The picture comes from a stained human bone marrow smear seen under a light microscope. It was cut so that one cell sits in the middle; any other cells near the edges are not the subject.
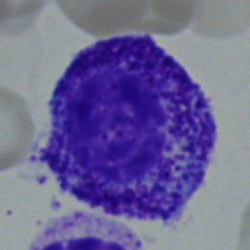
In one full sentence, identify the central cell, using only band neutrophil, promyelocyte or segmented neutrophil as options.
In this crop, the cell at the very middle is a promyelocyte.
